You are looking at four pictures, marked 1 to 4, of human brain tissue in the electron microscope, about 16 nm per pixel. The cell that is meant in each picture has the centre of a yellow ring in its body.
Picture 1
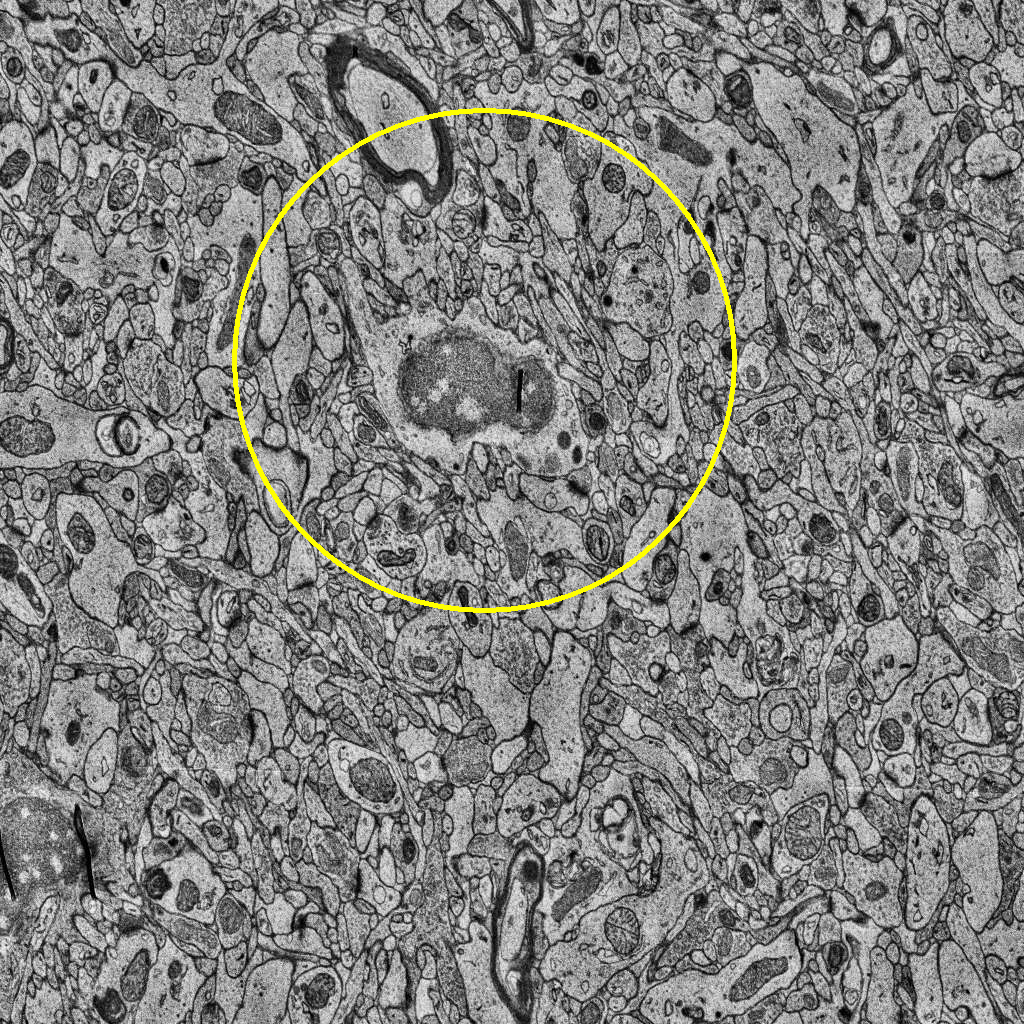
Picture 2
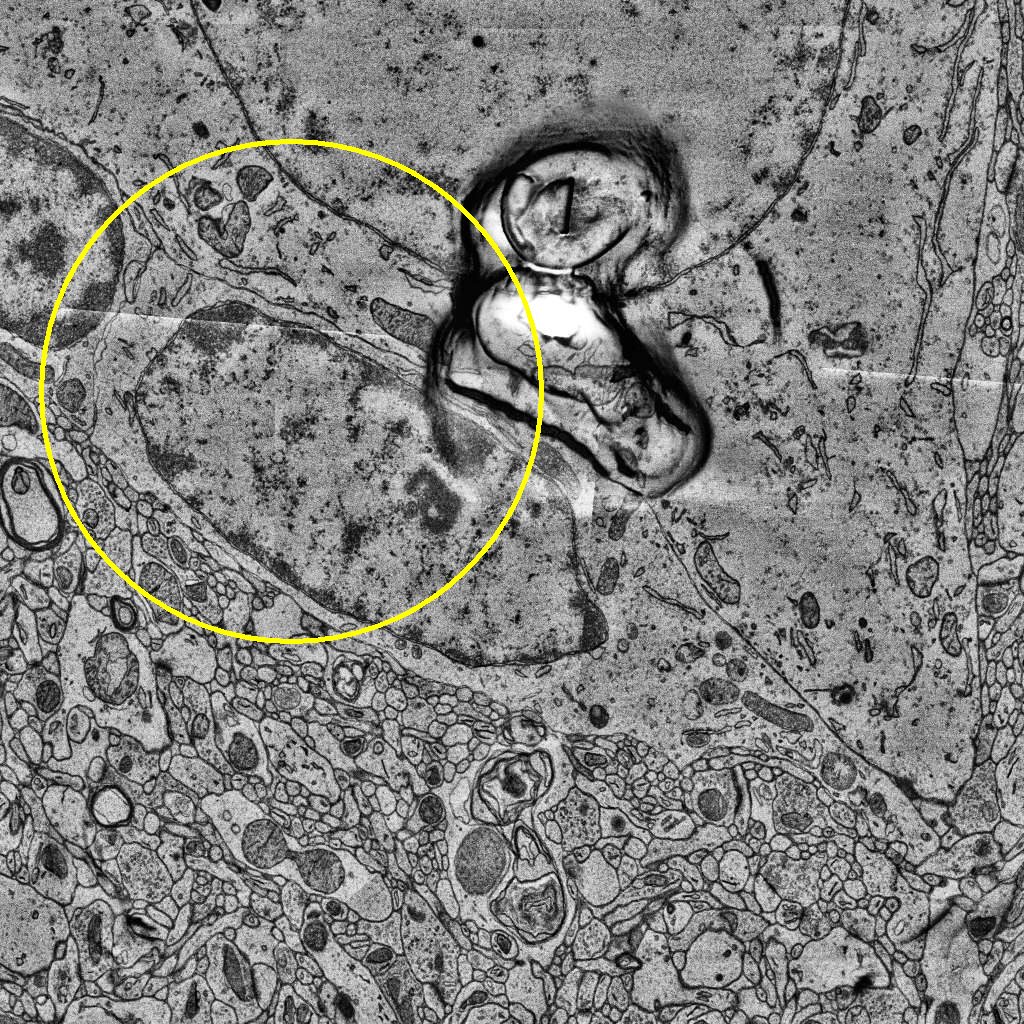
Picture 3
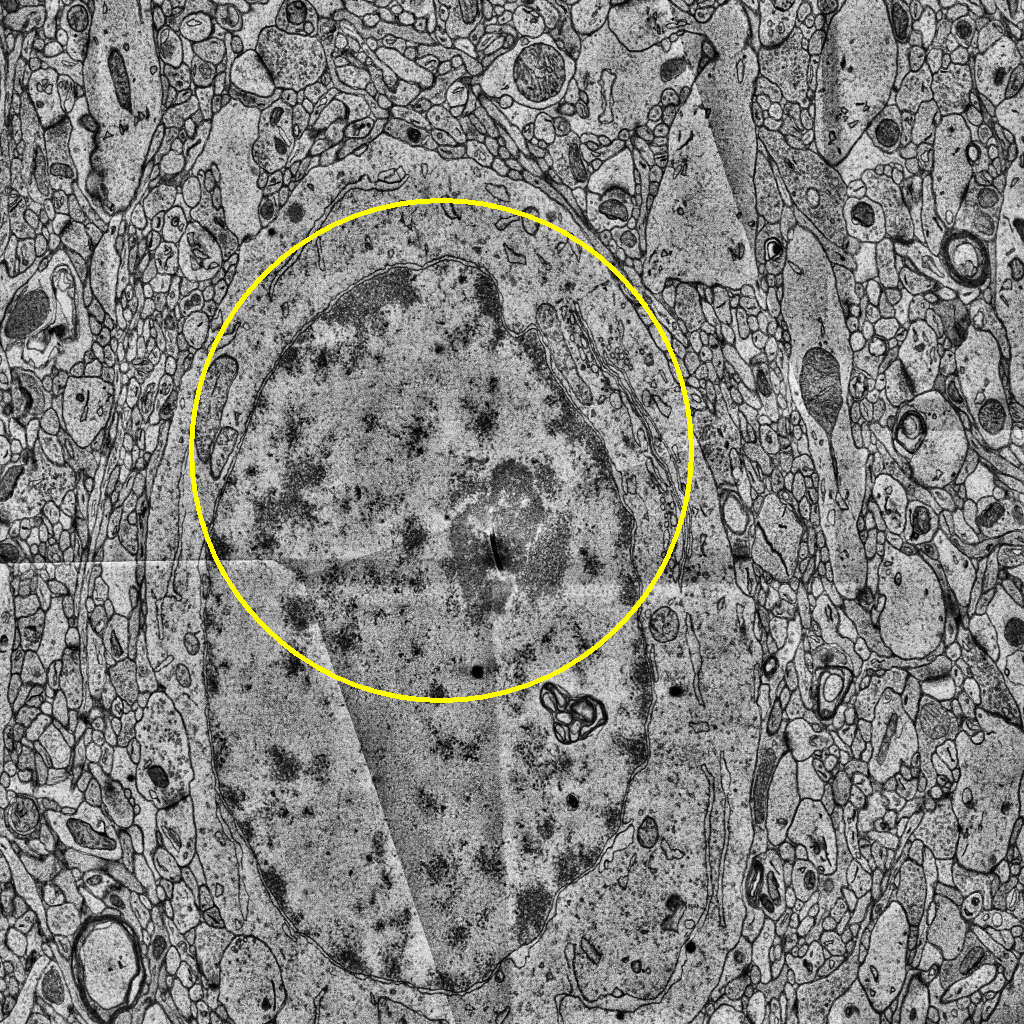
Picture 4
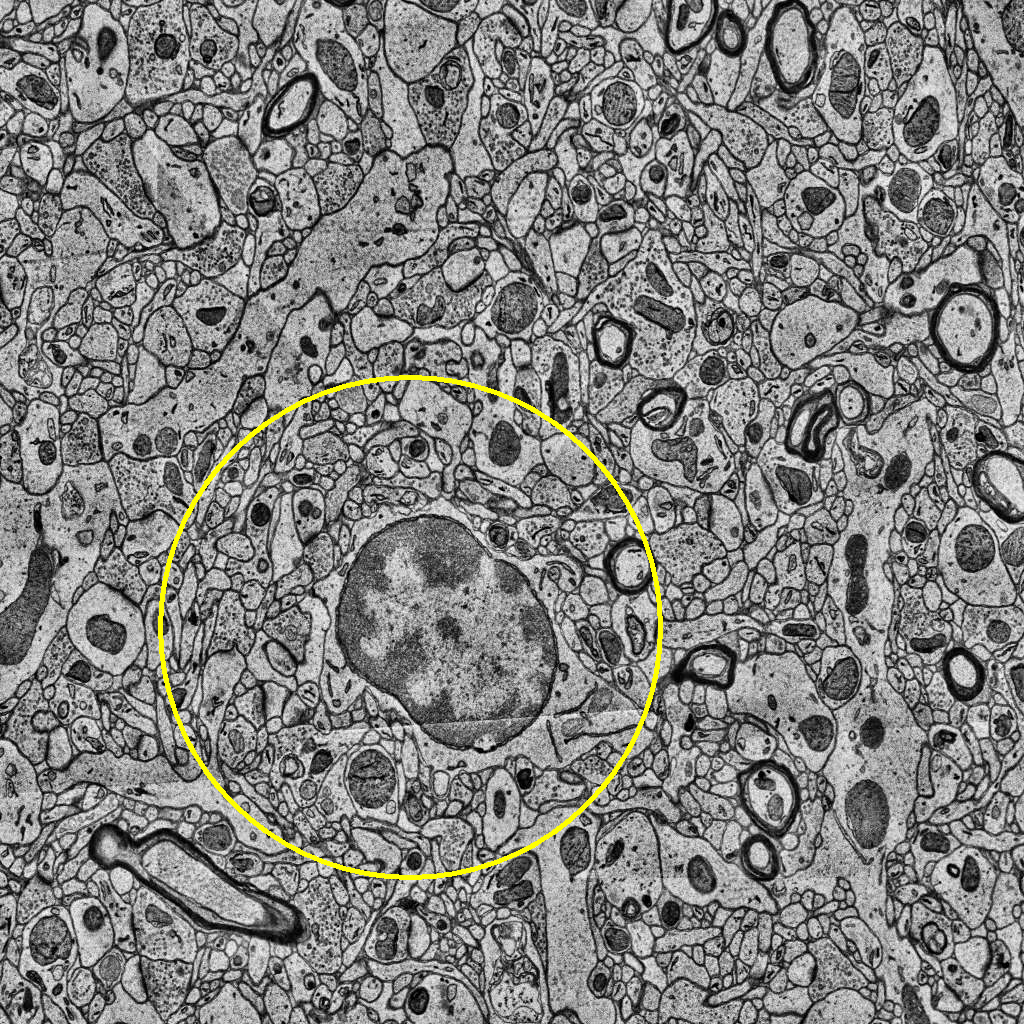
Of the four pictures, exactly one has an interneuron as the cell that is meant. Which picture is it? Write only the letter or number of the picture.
3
